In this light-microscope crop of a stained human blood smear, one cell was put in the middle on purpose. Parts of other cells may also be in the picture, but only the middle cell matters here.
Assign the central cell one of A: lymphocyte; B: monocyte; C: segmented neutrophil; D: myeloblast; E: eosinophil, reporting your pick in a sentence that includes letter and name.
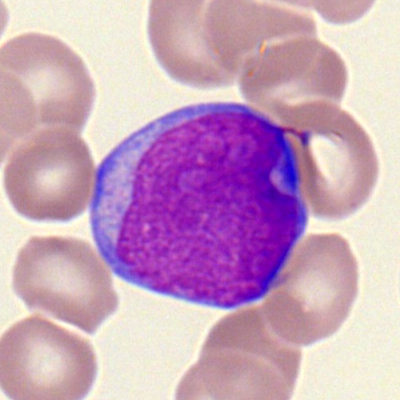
Option D is the right choice, the central cell being a myeloblast.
